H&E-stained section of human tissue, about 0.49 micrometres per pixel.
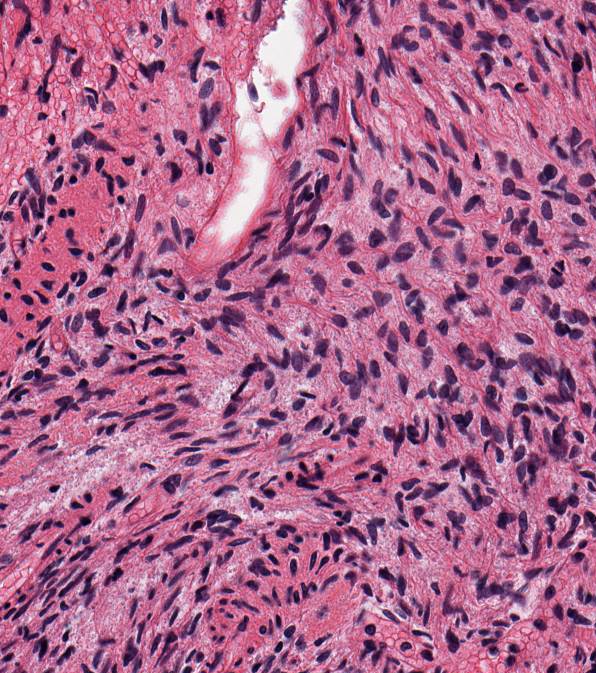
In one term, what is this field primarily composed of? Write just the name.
ovarian cortex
